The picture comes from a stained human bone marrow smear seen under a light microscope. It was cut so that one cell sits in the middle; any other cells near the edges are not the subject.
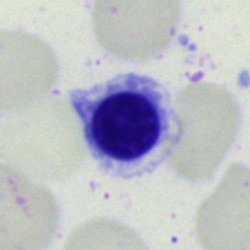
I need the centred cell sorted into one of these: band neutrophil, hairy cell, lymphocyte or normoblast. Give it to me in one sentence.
Regarding the central cell, it is a normoblast.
